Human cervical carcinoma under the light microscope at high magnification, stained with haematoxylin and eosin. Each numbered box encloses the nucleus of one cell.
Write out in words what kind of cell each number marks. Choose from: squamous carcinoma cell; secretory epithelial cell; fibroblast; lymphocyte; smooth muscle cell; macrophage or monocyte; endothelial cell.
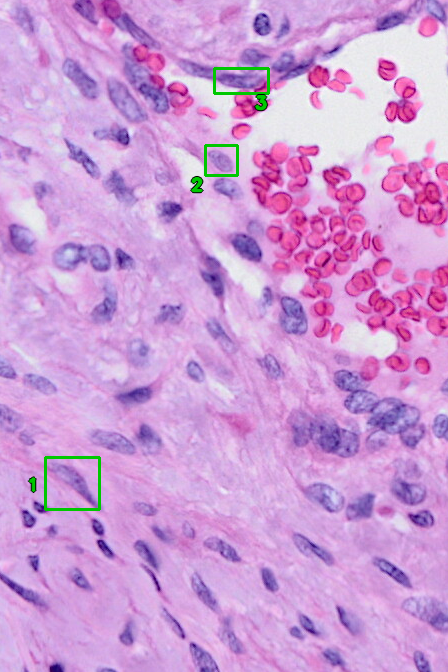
Cell 1 is a smooth muscle cell. Cells 2 and 3 are endothelial cells.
